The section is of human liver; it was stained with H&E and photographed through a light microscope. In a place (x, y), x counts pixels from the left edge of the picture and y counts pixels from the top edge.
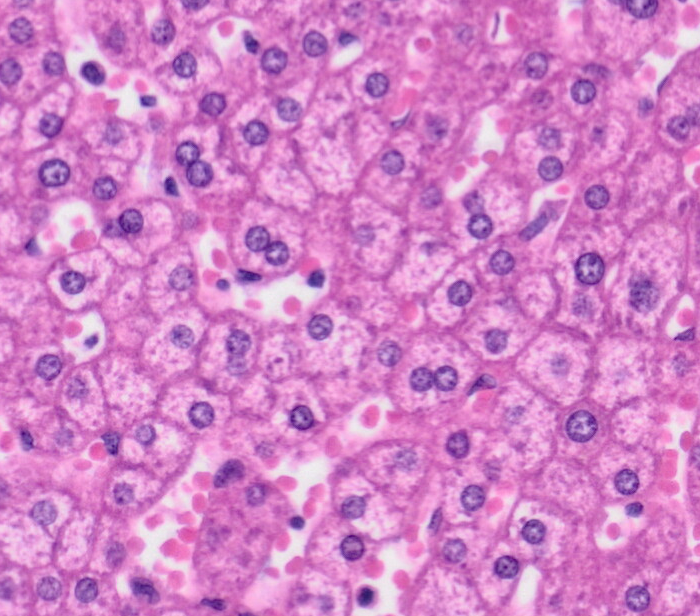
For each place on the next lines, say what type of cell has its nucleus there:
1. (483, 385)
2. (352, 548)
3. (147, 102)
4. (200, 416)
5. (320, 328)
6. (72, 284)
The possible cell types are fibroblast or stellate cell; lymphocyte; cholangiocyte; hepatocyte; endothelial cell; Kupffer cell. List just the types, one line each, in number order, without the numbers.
endothelial cell
hepatocyte
lymphocyte
hepatocyte
hepatocyte
hepatocyte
